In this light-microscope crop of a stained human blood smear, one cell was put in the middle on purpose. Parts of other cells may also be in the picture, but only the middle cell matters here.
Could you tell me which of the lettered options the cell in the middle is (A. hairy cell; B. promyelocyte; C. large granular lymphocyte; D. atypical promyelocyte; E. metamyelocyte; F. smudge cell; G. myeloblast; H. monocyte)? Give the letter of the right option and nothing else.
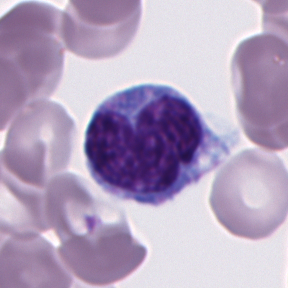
H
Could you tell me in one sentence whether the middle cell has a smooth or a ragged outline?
The boundary of the cell runs irregularly, ragged in parts or drawn into projections.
